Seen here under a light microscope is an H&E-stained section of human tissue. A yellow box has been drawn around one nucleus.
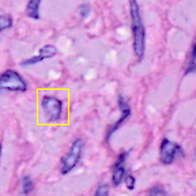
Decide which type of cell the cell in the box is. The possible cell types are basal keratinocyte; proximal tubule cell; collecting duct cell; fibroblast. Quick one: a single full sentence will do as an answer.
Just put down that the cell in the box is a fibroblast.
